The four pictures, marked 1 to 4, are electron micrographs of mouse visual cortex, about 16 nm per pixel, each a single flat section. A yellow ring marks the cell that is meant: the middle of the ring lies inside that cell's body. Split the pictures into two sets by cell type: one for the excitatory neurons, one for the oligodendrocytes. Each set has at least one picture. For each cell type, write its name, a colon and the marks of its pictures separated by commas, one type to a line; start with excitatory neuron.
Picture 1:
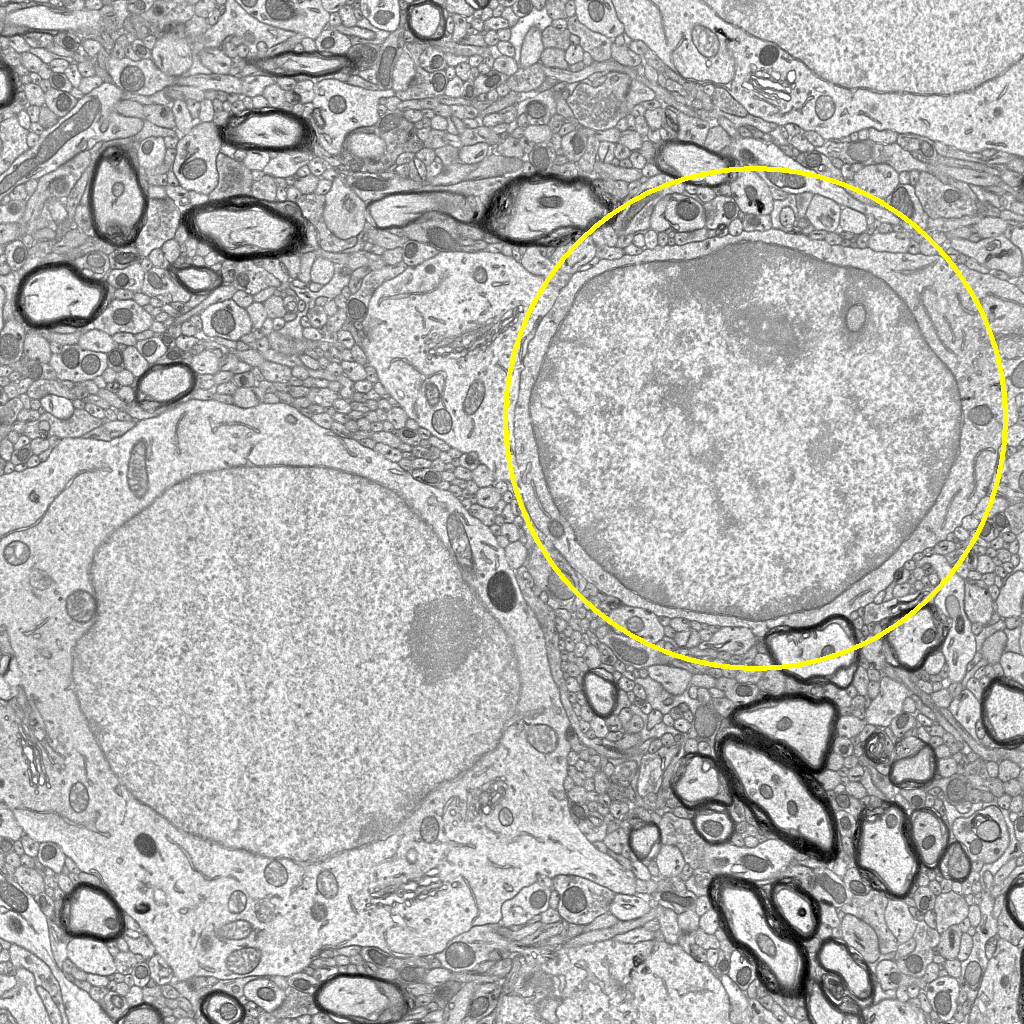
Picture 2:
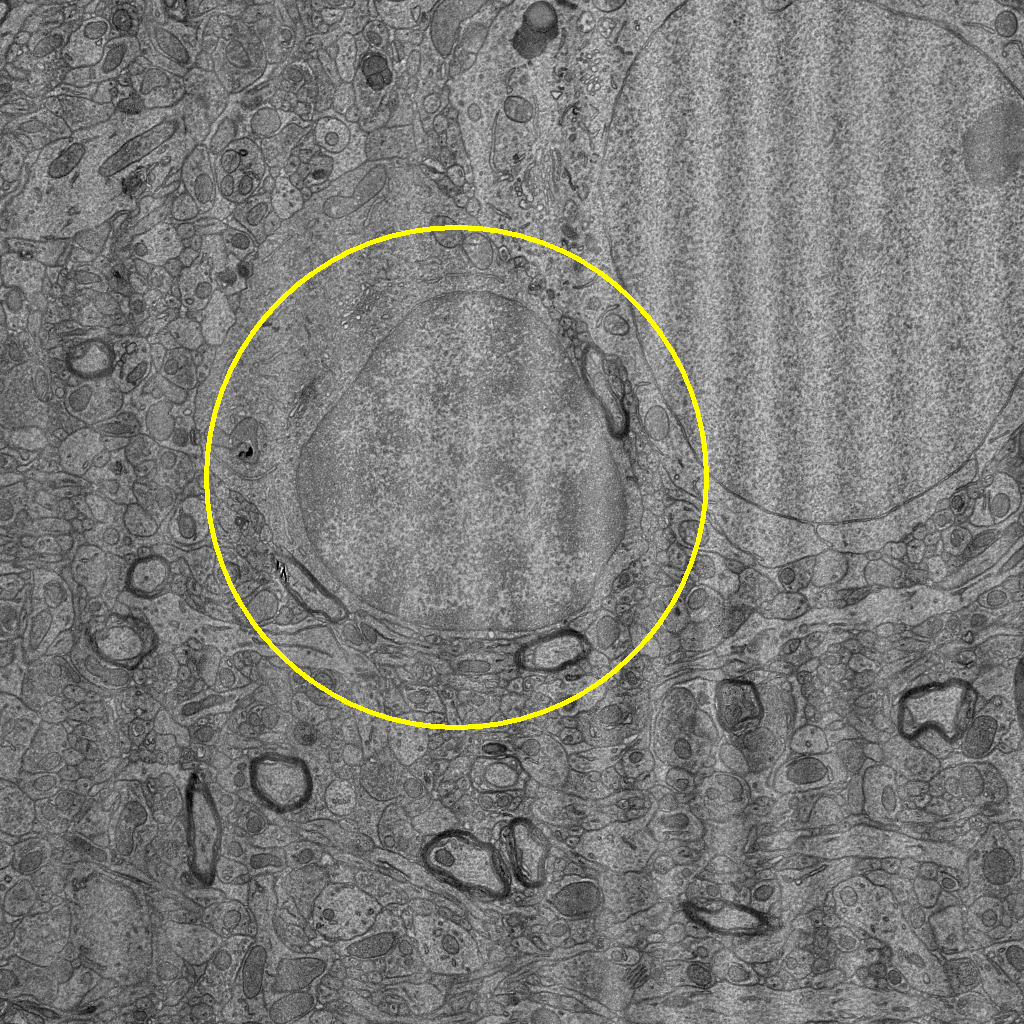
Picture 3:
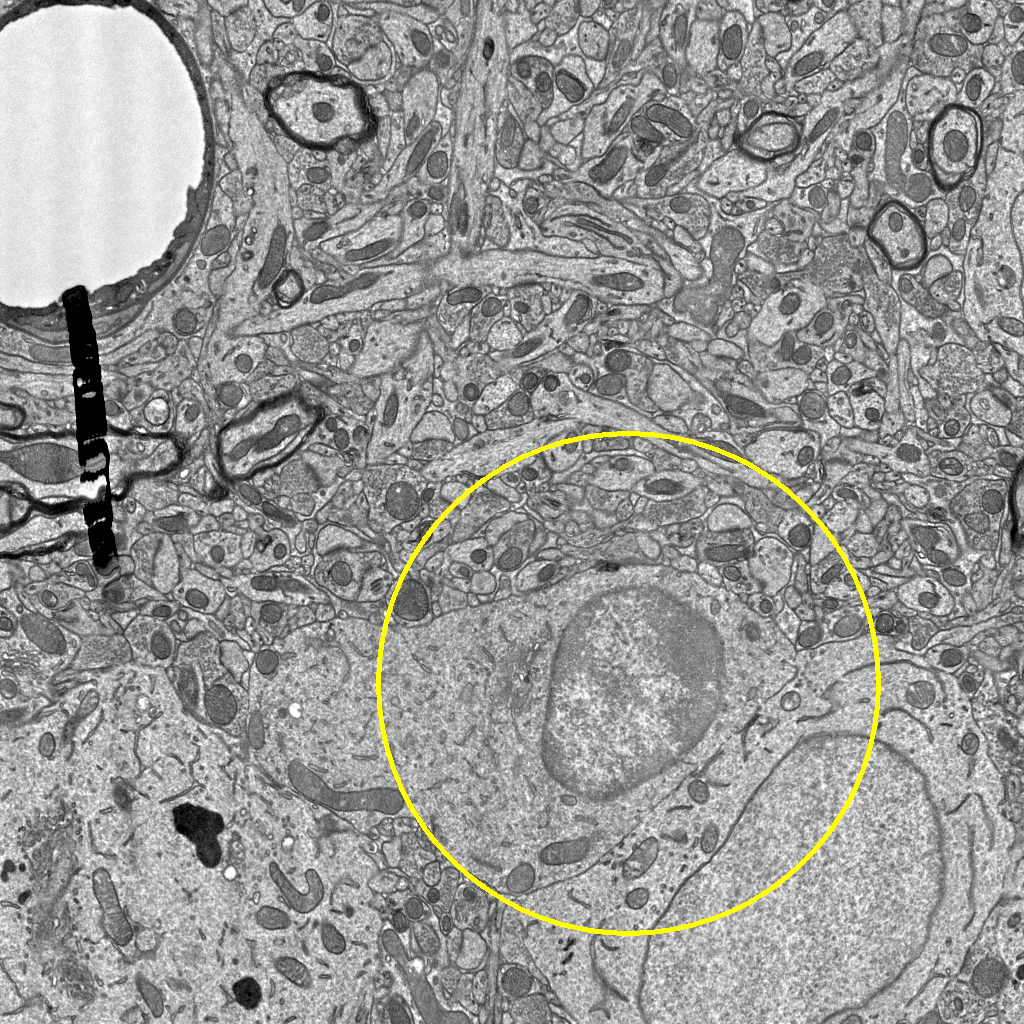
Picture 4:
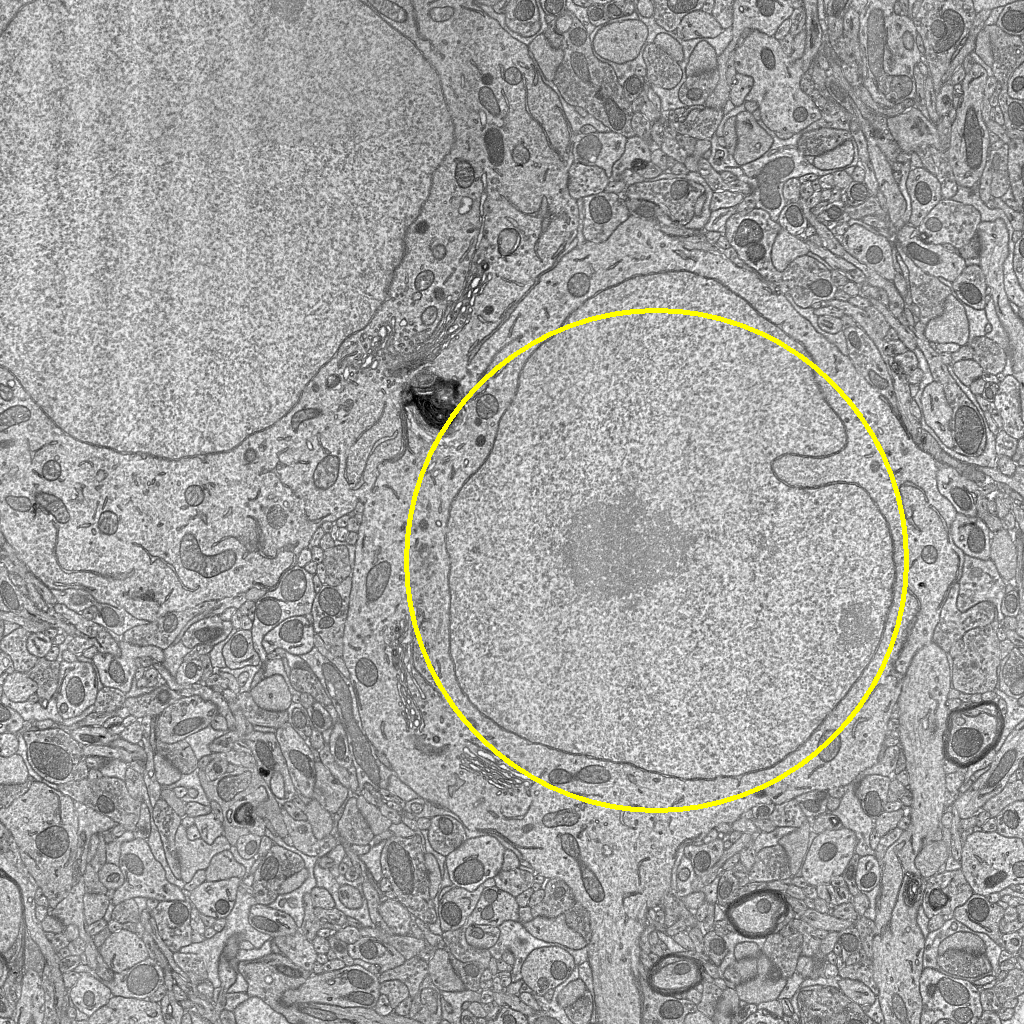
excitatory neuron: 4
oligodendrocyte: 1, 2, 3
